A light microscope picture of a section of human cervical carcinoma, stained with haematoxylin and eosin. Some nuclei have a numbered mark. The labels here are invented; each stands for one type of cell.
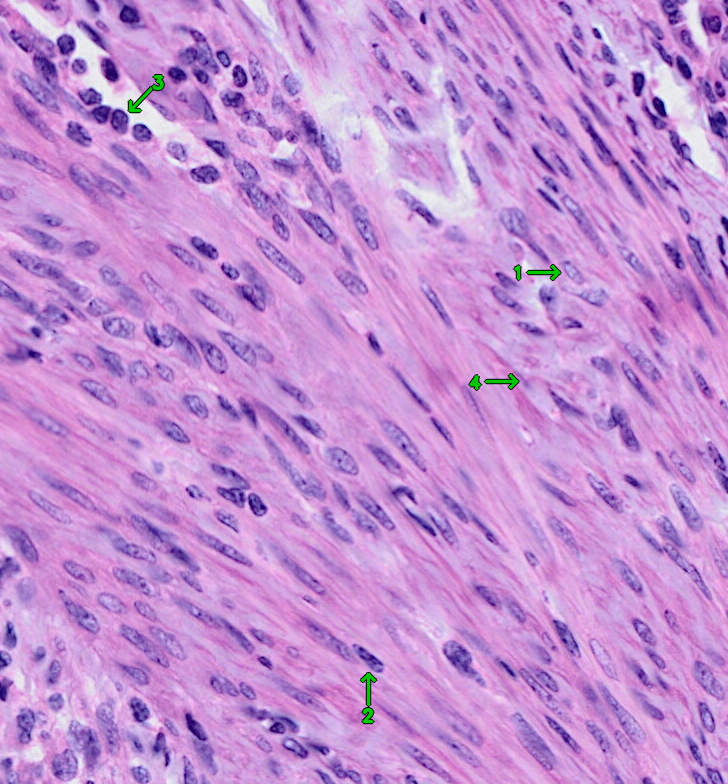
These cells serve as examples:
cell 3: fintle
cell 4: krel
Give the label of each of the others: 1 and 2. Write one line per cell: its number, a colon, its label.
1: krel
2: fintle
